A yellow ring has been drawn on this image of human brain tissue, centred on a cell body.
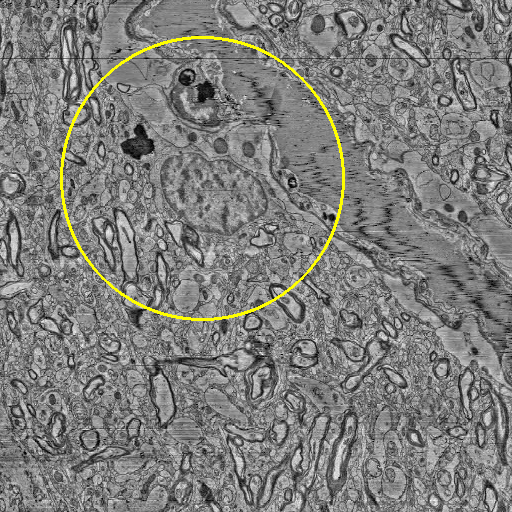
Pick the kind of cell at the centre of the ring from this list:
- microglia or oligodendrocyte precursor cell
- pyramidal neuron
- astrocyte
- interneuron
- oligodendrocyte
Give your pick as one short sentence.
The centre of the ring holds an oligodendrocyte.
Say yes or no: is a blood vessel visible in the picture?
Yes, the image shows a blood vessel.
